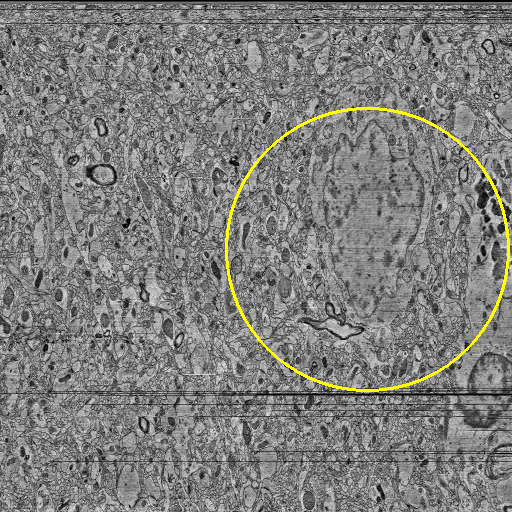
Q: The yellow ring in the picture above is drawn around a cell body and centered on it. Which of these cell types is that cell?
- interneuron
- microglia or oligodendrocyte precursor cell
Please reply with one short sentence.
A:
The cell body at the ring's center belongs to an interneuron.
